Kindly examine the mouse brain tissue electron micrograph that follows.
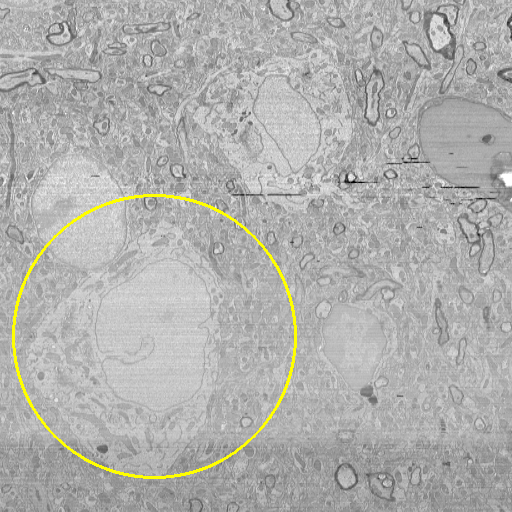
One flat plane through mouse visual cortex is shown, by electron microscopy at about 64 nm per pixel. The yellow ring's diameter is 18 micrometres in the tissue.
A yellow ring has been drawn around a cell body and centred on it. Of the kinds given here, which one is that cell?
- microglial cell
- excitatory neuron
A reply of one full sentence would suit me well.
The micrograph's ringed cell, the one at the ring's centre, is an excitatory neuron.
